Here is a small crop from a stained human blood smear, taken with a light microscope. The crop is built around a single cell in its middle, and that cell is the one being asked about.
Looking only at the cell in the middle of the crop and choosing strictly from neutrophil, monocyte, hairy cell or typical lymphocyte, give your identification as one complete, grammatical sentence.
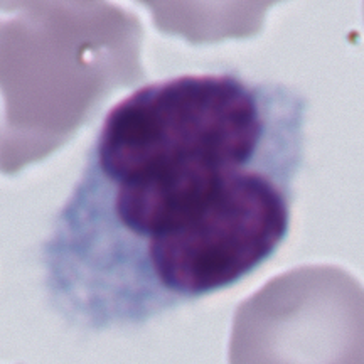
In this crop, the cell at the very middle is a hairy cell.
